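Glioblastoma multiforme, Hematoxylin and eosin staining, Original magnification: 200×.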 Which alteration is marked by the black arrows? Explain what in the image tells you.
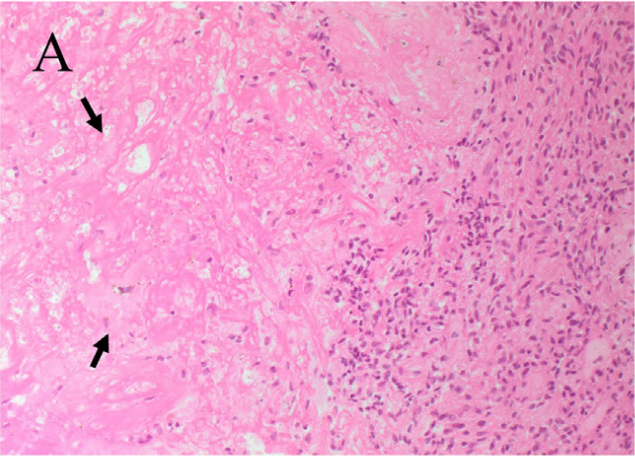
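Necrotic area. The arrows point into a pale pink, largely acellular region on the left. That region has very few purple nuclei compared with the densely nucleated tissue on the right.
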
